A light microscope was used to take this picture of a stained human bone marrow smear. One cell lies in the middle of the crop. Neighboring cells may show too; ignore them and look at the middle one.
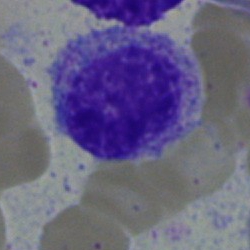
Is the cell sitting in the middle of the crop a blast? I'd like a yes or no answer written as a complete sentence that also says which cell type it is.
No, the cell at the centre is identified as a myelocyte, not as a blast.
